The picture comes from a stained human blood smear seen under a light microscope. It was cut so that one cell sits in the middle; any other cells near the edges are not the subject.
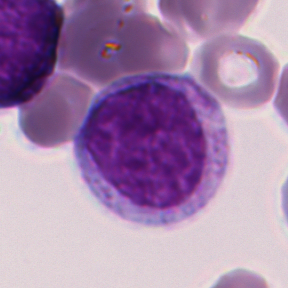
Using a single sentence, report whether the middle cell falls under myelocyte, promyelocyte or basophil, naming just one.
The centrally located cell in the crop is a myelocyte.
